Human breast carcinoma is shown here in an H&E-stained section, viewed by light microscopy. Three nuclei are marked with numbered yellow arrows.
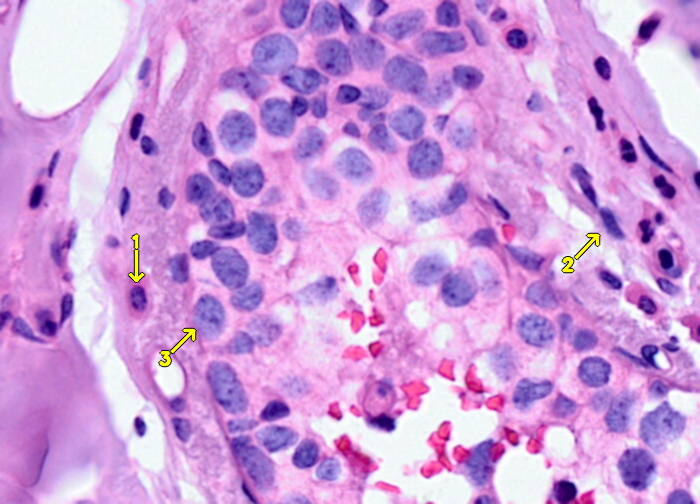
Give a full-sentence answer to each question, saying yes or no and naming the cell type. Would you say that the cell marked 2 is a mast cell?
No, the right label for cell 2 is a fibroblast rather than a mast cell.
